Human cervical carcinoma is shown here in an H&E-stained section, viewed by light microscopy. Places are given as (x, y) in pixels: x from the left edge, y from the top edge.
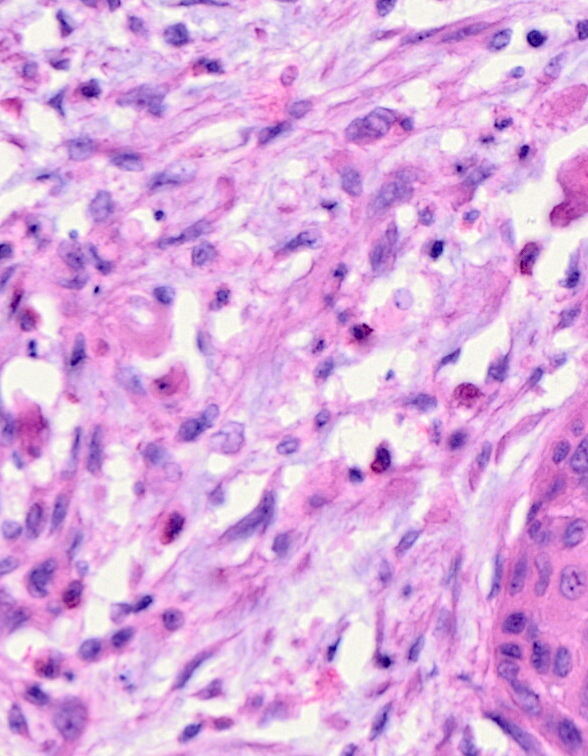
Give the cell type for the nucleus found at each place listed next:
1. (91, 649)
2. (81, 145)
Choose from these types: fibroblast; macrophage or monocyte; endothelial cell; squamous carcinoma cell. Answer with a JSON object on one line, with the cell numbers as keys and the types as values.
{"1": "macrophage or monocyte", "2": "fibroblast"}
